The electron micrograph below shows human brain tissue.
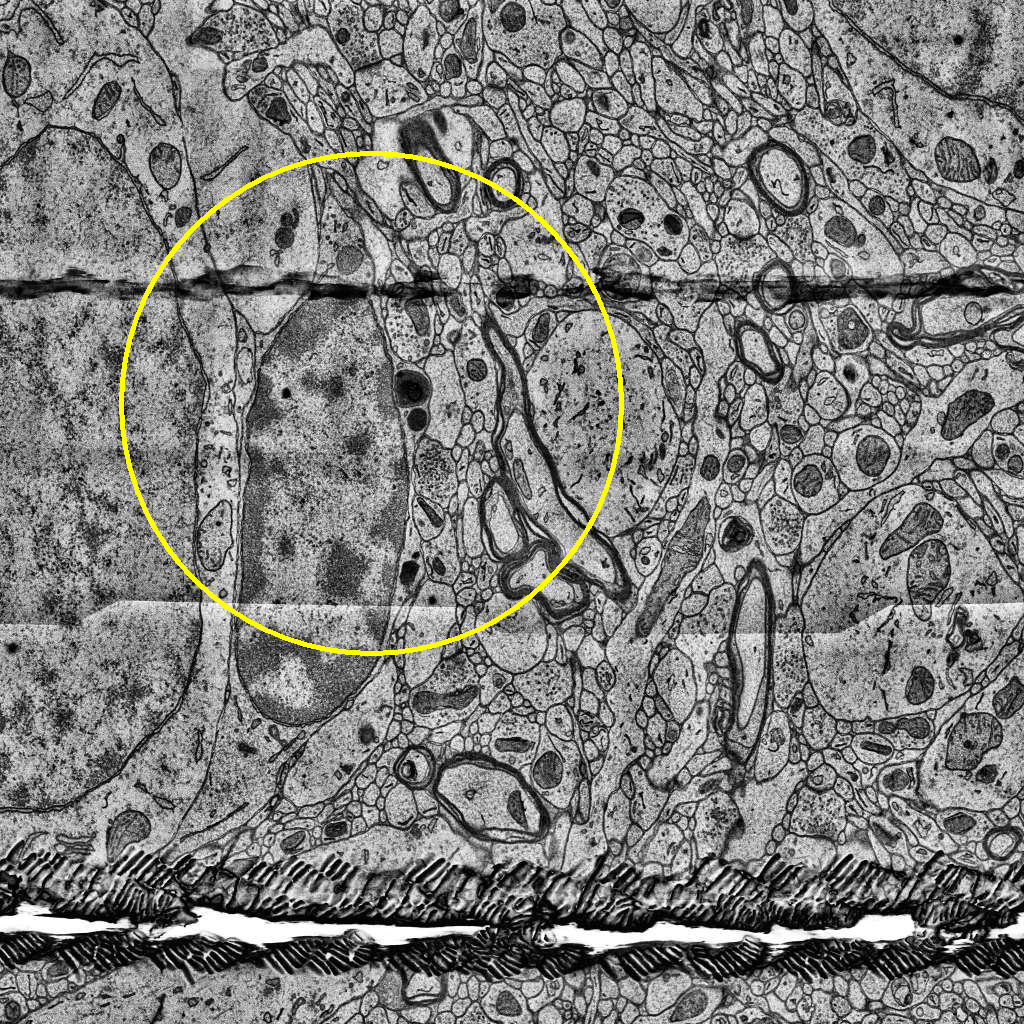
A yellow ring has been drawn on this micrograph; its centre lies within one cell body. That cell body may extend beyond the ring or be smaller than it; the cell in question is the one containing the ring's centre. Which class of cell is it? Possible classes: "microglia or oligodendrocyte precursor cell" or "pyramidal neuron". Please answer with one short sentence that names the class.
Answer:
In the centre of the ring sits a microglial cell or oligodendrocyte precursor cell.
